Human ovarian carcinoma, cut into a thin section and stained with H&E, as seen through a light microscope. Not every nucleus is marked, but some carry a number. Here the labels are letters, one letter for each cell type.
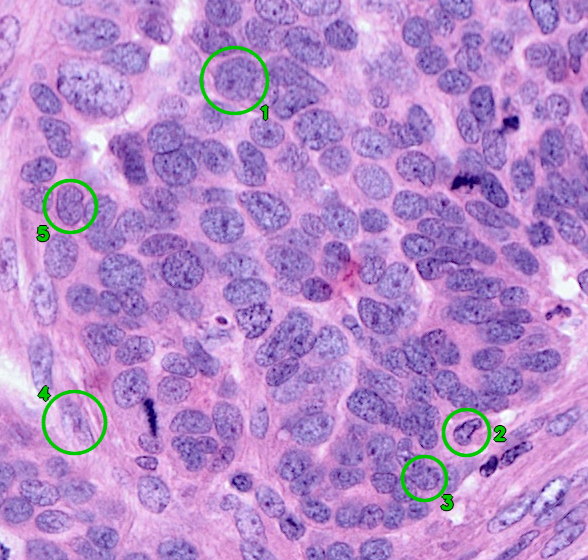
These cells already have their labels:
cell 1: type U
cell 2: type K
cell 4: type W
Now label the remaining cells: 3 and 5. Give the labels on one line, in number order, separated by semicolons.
type U; type U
